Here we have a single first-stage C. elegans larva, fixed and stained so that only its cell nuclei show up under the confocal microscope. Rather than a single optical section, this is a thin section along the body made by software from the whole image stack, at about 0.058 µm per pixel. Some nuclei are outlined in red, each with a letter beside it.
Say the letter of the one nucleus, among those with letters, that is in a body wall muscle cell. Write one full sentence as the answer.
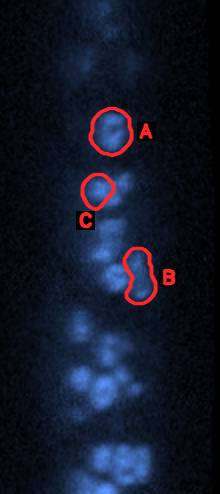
B is the one that belongs to a body wall muscle cell.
